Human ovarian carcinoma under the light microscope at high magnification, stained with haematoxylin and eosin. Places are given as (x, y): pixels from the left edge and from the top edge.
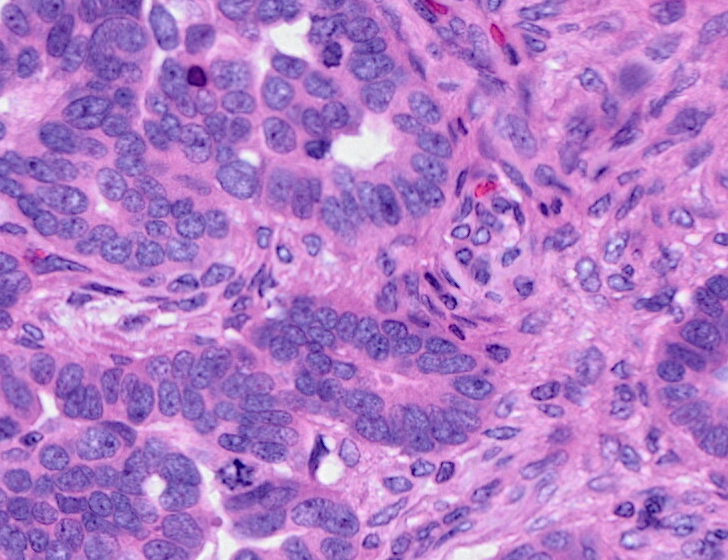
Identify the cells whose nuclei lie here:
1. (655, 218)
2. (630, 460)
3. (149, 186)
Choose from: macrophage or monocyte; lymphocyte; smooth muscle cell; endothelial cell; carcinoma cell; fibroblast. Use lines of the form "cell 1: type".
cell 1: fibroblast
cell 2: fibroblast
cell 3: carcinoma cell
